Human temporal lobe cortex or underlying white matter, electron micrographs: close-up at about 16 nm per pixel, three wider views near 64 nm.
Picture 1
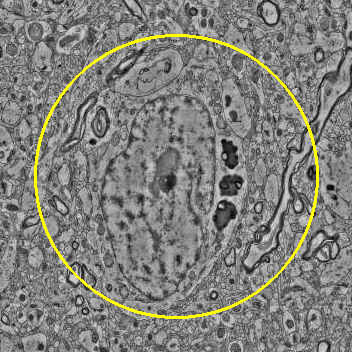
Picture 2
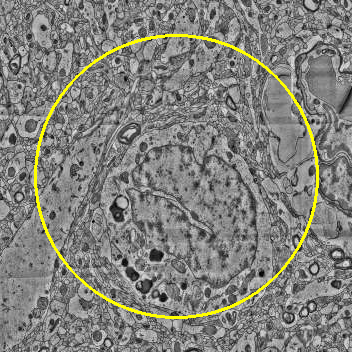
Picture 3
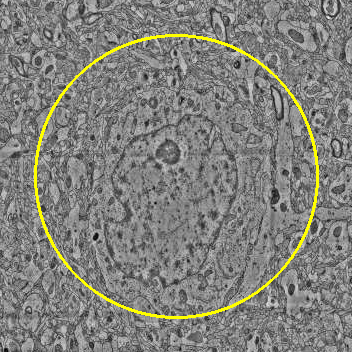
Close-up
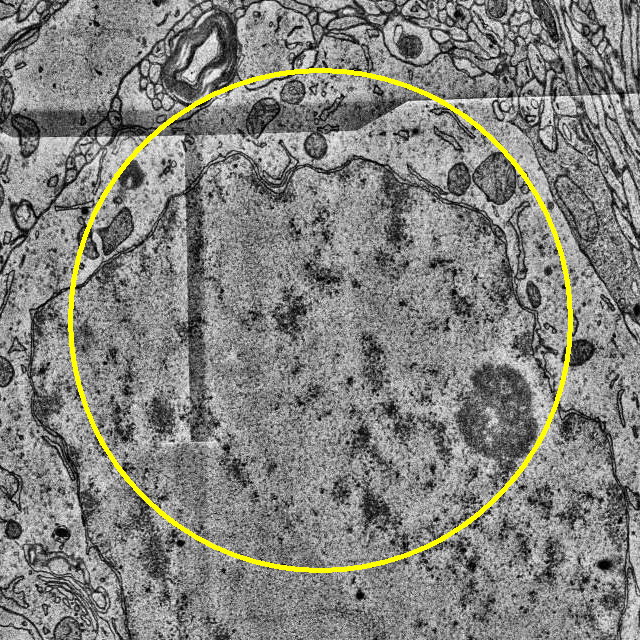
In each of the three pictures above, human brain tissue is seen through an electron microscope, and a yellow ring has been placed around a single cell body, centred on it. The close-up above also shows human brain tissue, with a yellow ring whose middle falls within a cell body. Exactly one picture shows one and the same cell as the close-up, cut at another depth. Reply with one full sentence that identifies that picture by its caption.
Enlarged in the close-up is the cell circled in Picture 2.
